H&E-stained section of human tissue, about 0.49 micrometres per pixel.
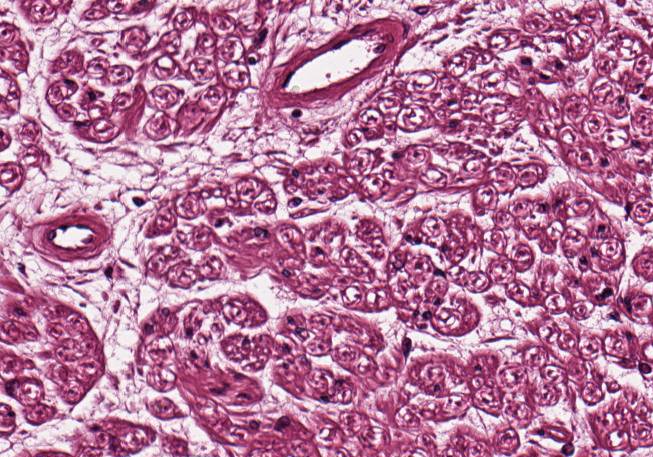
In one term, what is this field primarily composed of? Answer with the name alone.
nerve fascicle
